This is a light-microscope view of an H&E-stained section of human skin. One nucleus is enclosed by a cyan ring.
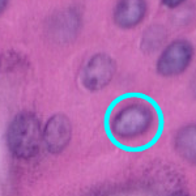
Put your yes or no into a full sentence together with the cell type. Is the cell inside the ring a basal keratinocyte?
No, that's not it; the cell inside the ring is a suprabasal keratinocyte rather than a basal keratinocyte.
